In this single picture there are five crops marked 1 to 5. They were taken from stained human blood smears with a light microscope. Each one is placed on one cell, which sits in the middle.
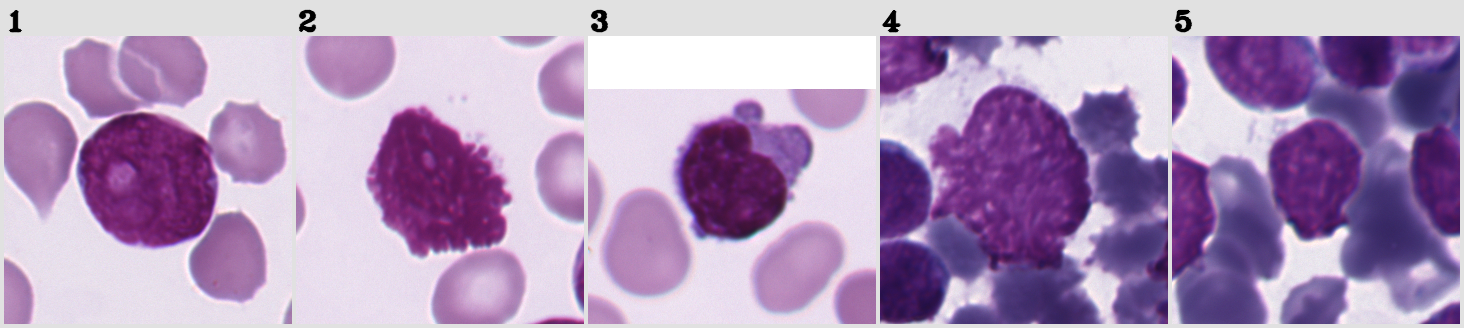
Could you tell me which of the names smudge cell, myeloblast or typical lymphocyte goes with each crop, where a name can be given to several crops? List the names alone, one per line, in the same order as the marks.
myeloblast
smudge cell
typical lymphocyte
smudge cell
smudge cell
